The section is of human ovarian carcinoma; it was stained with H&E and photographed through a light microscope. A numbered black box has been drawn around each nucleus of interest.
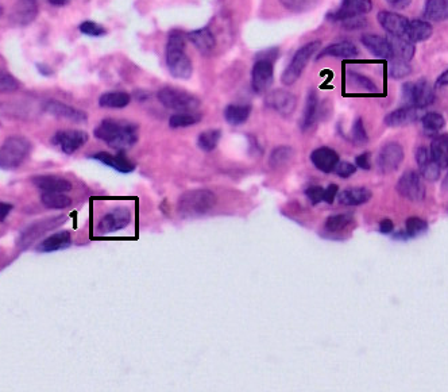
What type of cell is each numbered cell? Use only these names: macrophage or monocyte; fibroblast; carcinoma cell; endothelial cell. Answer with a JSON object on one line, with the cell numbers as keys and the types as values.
{"1": "macrophage or monocyte", "2": "carcinoma cell"}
